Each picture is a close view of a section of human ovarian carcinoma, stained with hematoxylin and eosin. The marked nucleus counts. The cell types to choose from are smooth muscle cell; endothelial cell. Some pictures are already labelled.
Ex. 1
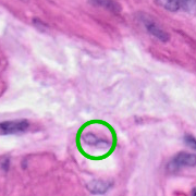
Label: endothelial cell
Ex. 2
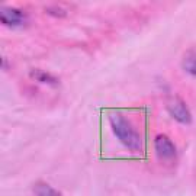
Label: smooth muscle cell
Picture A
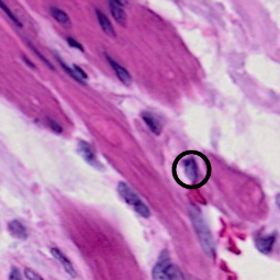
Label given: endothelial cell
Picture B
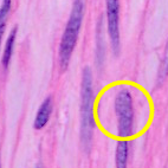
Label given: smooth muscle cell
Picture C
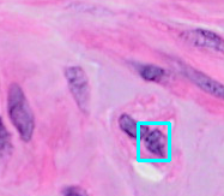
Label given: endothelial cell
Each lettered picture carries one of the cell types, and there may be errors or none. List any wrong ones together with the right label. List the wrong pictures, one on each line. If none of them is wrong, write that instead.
Nothing to fix; every label fits.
